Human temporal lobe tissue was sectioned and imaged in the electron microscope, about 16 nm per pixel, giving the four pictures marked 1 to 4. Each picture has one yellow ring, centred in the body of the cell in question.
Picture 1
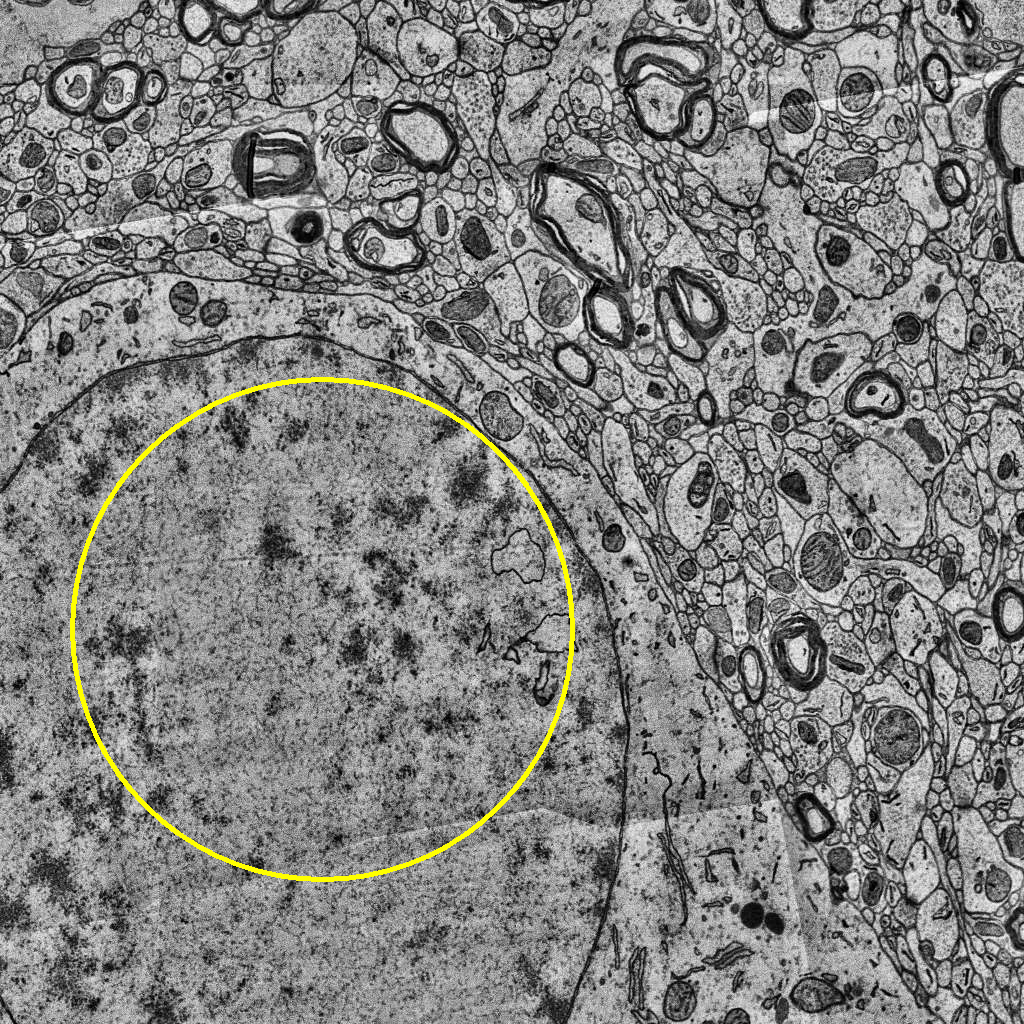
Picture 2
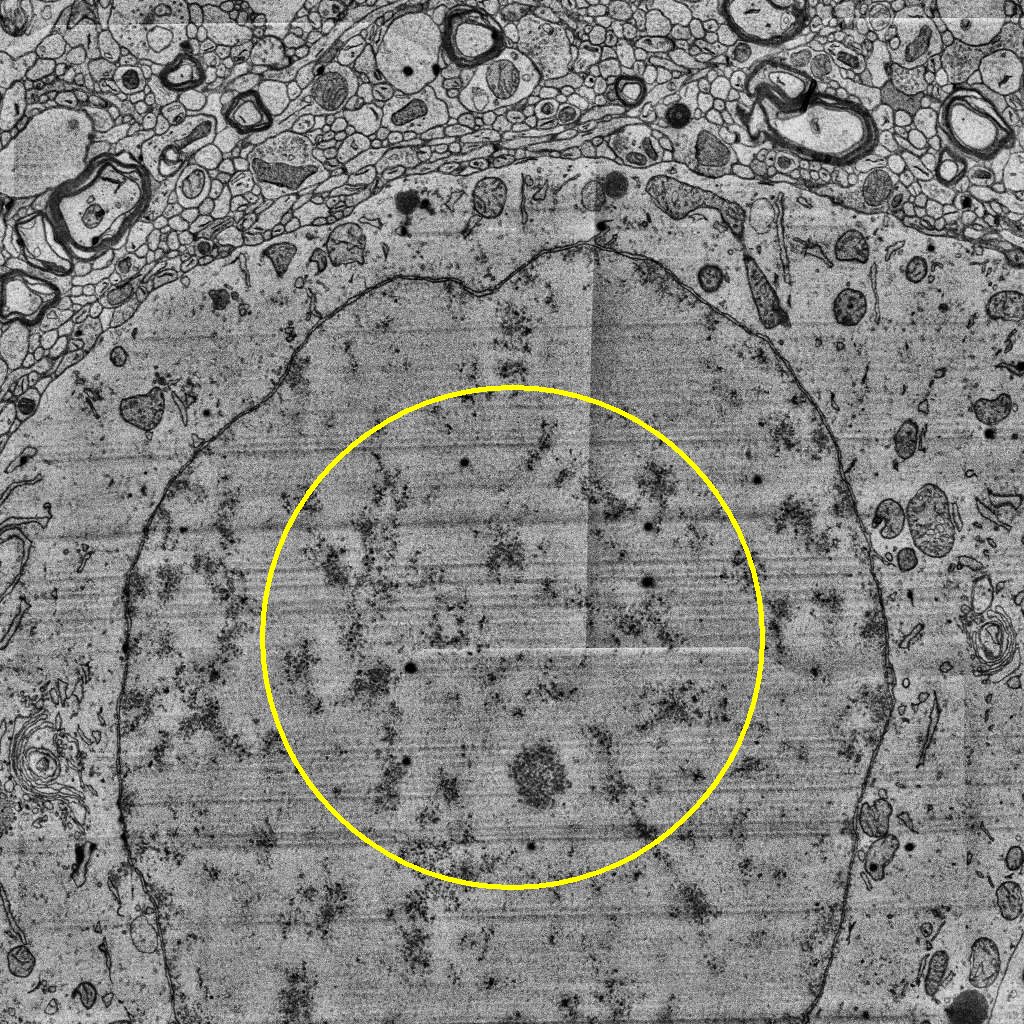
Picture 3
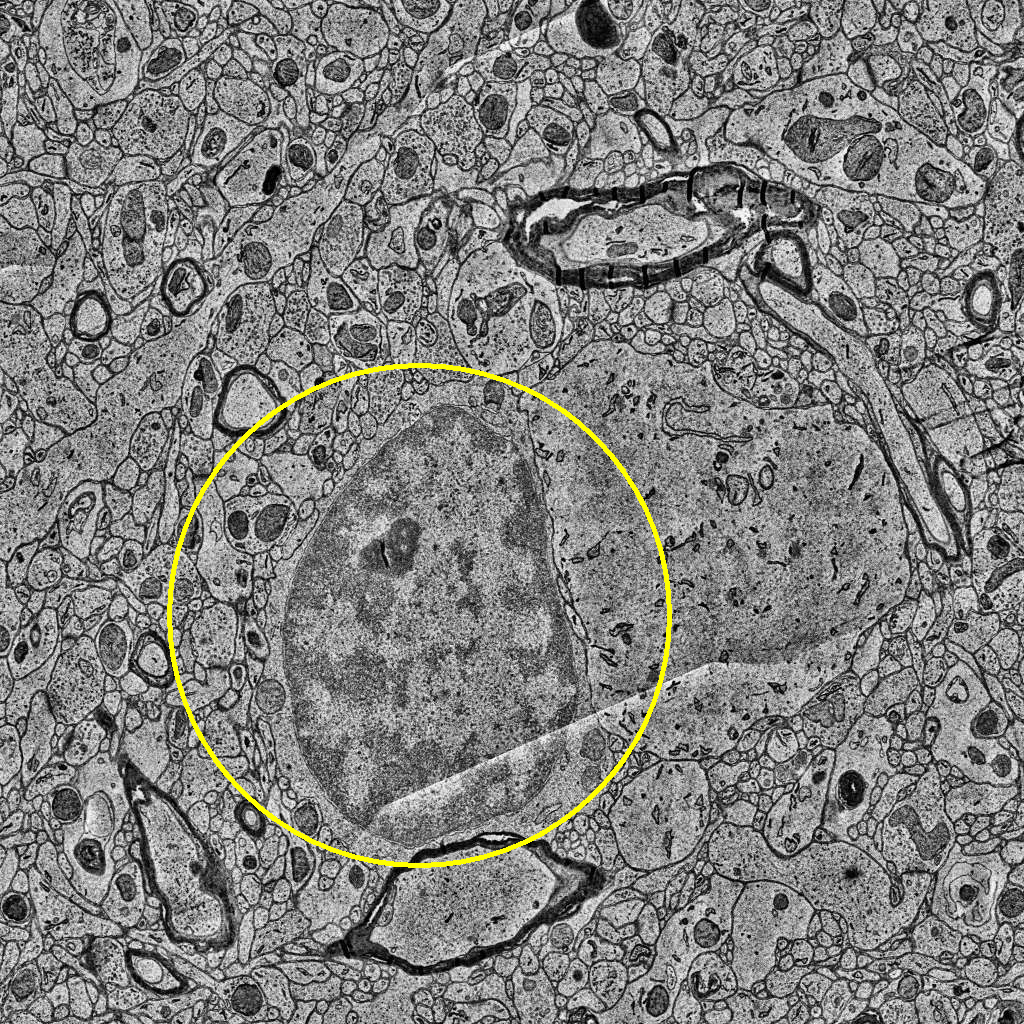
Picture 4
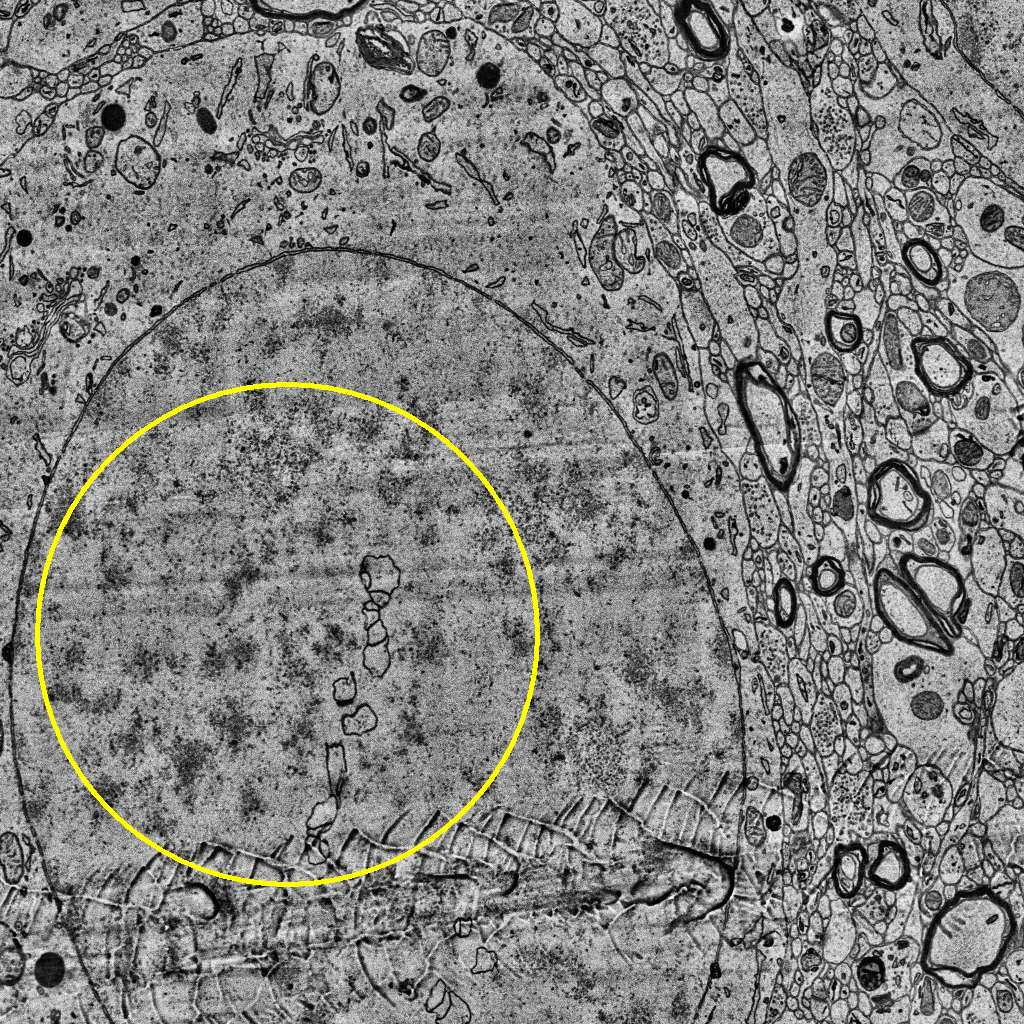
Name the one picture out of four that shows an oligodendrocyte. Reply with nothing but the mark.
3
